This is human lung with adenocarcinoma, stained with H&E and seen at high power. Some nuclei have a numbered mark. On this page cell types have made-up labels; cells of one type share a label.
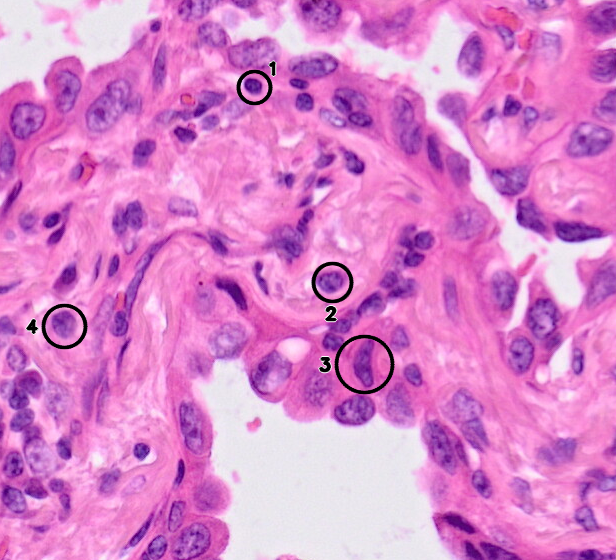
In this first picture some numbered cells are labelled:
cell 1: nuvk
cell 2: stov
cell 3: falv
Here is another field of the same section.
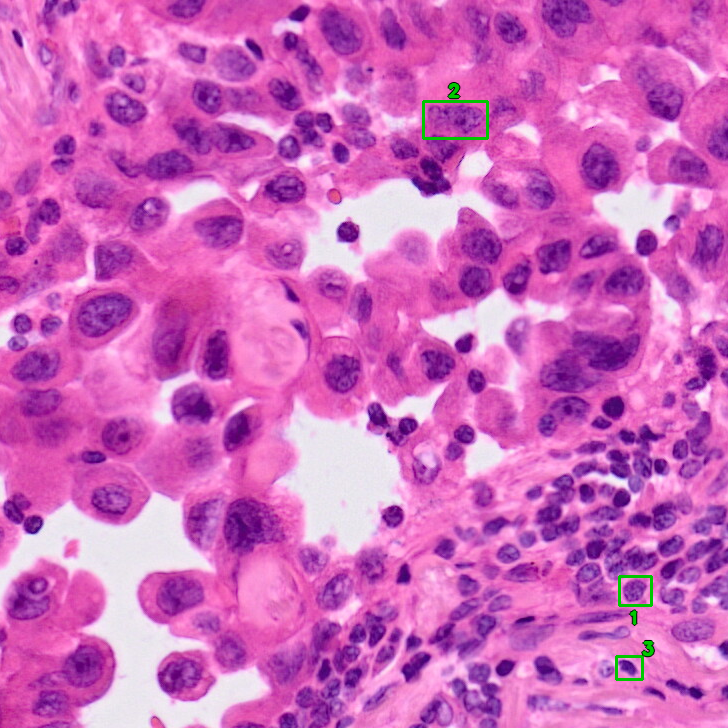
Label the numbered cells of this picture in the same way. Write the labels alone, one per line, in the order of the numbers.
nuvk
falv
nuvk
